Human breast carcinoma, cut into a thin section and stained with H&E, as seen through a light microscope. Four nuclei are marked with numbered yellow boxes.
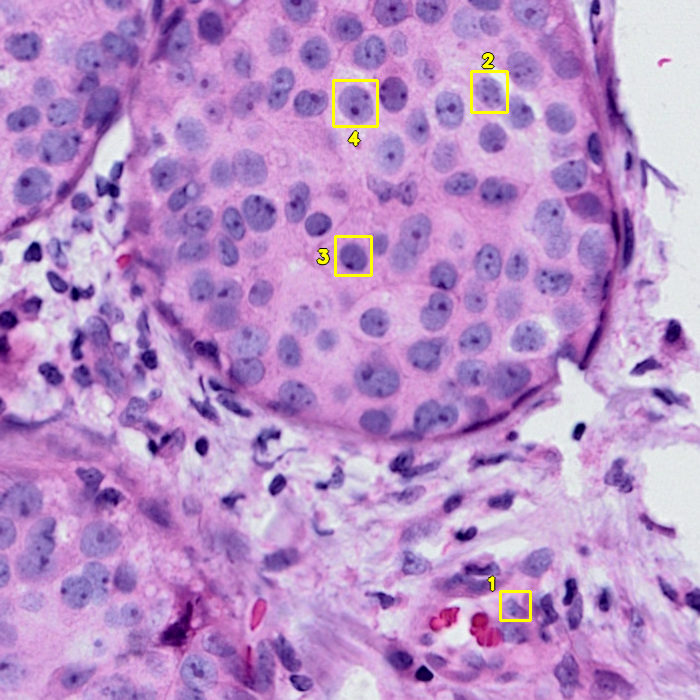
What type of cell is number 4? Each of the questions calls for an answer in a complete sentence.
The cell referenced by the number 4 is a carcinoma cell in this field.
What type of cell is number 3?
Corresponding to a carcinoma cell is the cell labelled 3.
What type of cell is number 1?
The expected answer is that cell 1 is an endothelial cell.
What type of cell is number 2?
The cell bearing label 2 corresponds to a carcinoma cell.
